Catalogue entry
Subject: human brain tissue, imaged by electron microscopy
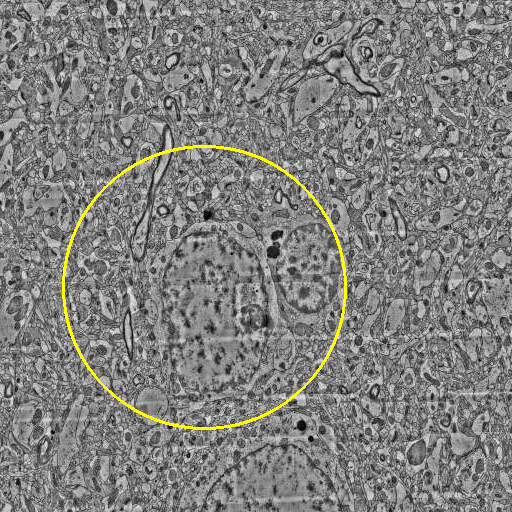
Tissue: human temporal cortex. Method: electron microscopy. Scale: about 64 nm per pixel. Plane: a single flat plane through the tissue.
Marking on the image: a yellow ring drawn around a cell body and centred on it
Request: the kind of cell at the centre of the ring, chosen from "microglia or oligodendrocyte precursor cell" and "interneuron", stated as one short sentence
The ring has an interneuron at its centre.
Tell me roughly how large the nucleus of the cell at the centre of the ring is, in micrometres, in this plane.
The nucleus of the ringed cell is approximately 10 by 7 micrometres in this plane.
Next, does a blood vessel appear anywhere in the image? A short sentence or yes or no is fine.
No, no blood vessel shows in the picture.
